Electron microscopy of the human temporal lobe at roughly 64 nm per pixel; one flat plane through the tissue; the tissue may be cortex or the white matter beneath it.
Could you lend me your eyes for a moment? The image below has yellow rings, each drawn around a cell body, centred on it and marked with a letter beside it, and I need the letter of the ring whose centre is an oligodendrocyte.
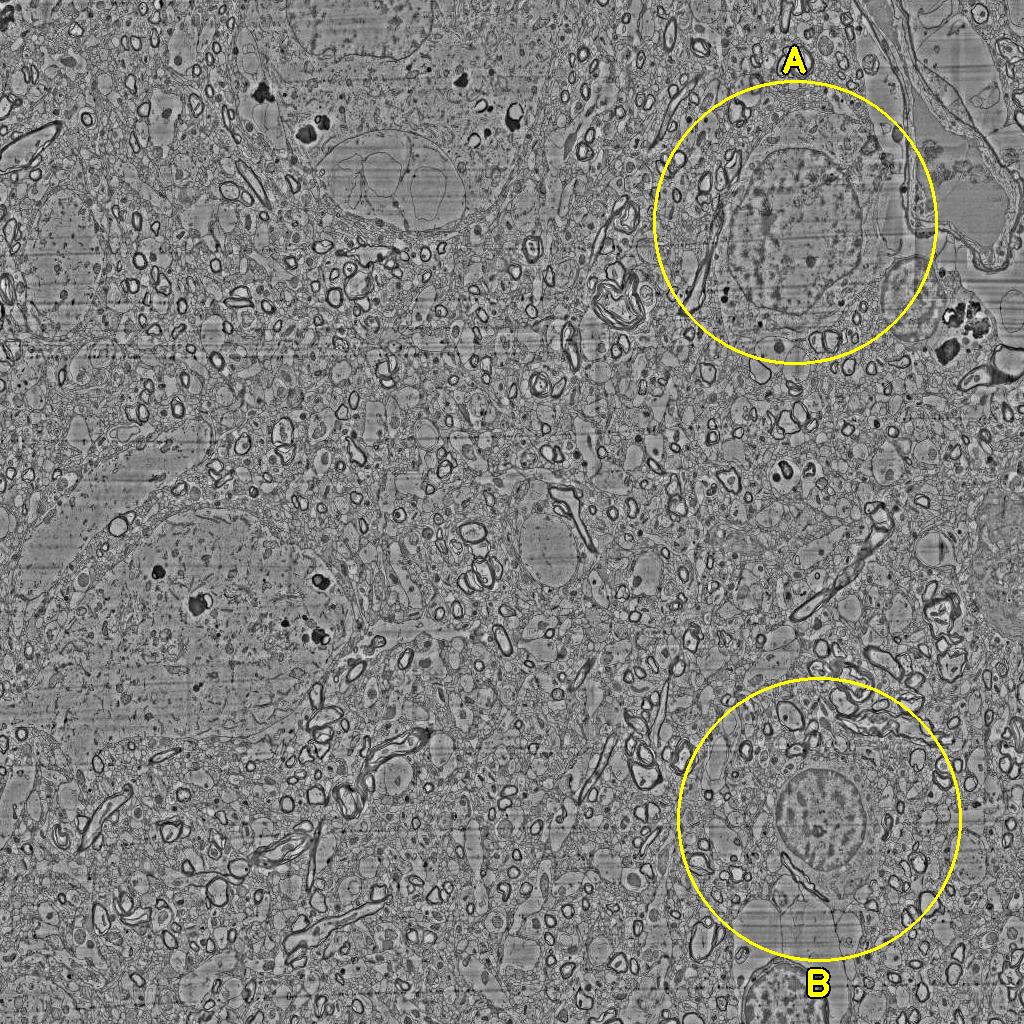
B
